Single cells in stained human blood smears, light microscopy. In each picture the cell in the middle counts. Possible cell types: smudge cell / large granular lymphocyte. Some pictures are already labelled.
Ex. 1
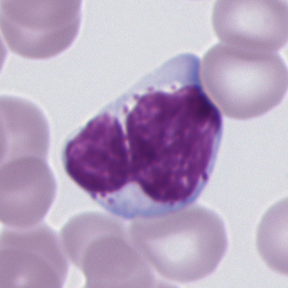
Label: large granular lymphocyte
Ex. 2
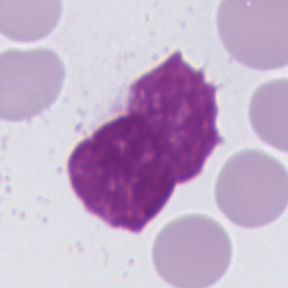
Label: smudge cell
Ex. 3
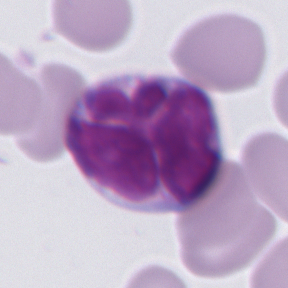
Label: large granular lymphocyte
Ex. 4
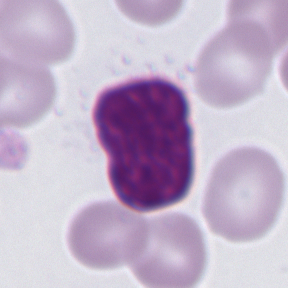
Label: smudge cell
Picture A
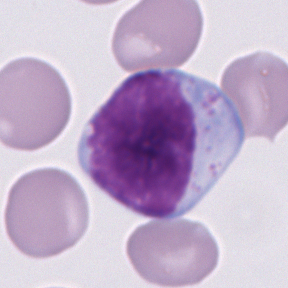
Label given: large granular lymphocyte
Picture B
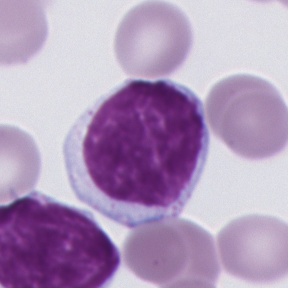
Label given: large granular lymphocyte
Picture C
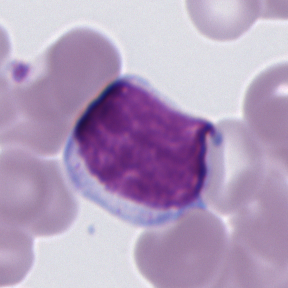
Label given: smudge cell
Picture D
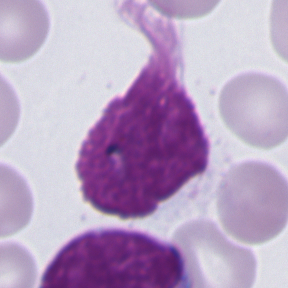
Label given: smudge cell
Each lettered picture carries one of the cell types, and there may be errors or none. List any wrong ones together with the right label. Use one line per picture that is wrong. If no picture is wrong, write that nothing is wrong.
C should be large granular lymphocyte, not smudge cell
